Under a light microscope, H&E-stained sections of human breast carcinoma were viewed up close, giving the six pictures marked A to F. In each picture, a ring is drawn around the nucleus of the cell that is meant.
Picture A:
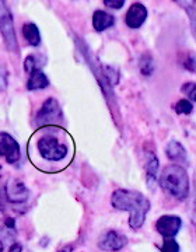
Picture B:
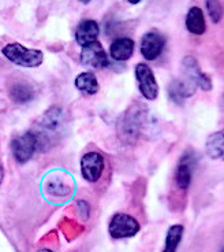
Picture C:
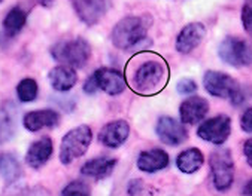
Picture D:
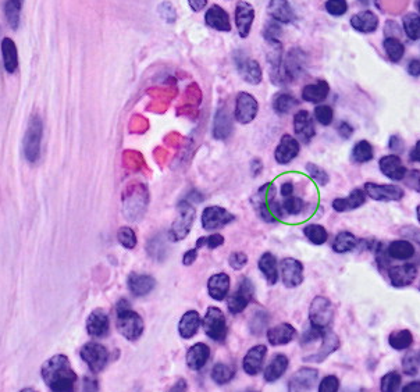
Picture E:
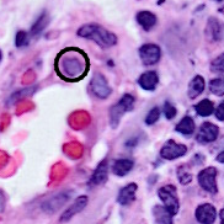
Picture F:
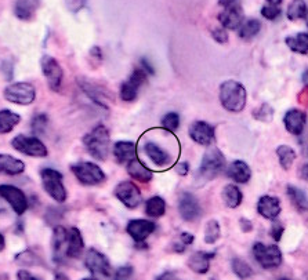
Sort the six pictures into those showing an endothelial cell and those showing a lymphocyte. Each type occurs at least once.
A: lymphocyte
B: endothelial cell
C: lymphocyte
D: lymphocyte
E: endothelial cell
F: lymphocyte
